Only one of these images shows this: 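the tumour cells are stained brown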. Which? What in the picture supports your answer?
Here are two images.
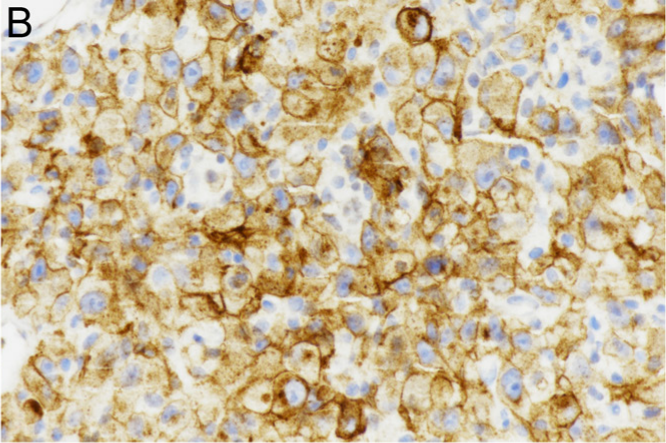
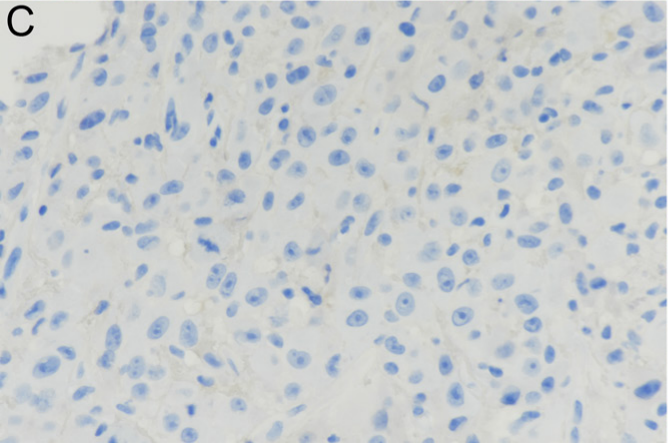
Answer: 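Second image: tumour cells show only blue nuclei on an unstained background. First image: most tumour cells show strong brown staining along their membranes and cytoplasm. So: the first image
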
